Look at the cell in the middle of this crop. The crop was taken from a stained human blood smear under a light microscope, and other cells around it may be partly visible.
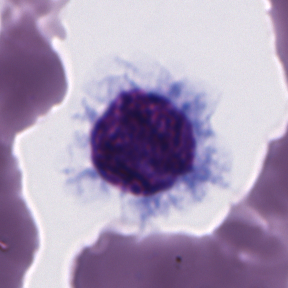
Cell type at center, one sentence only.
The middle of this crop is occupied by a hairy cell.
